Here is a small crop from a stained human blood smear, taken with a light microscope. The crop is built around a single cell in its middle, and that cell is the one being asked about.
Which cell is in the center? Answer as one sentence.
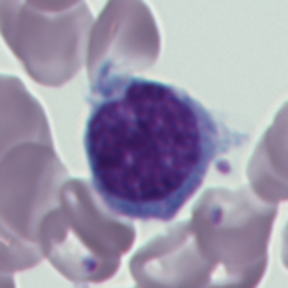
Looking at the middle of the crop, the cell there is a monocyte.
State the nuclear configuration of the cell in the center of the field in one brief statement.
The nucleus is one compact mass, round, oval or kidney-shaped in outline.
